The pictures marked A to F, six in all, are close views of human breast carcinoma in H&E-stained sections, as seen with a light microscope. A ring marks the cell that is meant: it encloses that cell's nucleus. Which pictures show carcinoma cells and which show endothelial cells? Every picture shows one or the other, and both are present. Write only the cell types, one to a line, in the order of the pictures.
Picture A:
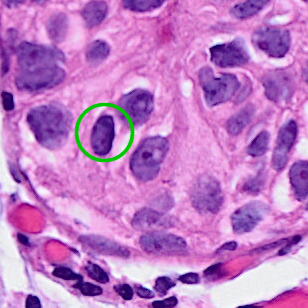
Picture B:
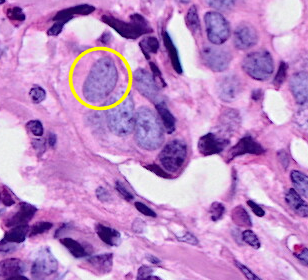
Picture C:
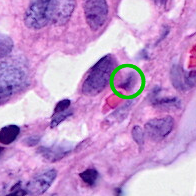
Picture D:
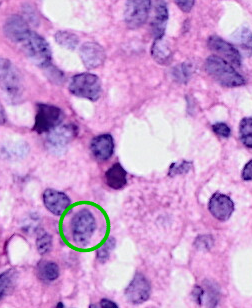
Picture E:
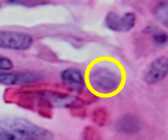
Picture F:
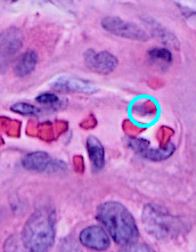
carcinoma cell
carcinoma cell
endothelial cell
carcinoma cell
endothelial cell
endothelial cell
